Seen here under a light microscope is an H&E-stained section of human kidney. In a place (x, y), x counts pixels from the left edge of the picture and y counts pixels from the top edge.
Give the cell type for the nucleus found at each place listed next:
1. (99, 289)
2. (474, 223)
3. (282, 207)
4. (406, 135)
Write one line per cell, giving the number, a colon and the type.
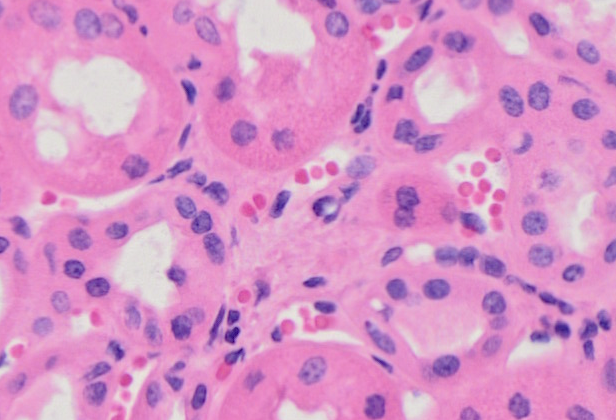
1: collecting duct cell
2: endothelial cell
3: endothelial cell
4: collecting duct cell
